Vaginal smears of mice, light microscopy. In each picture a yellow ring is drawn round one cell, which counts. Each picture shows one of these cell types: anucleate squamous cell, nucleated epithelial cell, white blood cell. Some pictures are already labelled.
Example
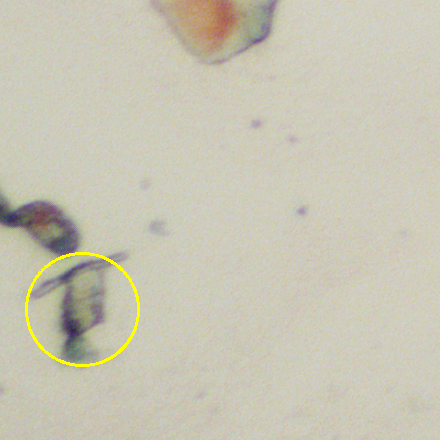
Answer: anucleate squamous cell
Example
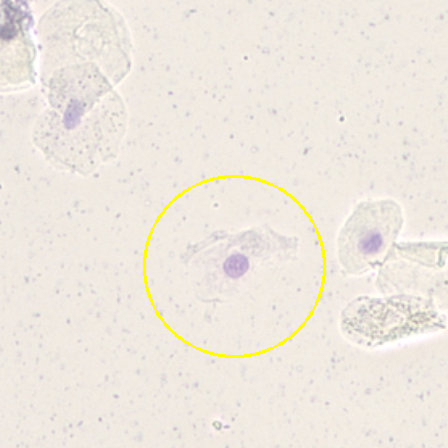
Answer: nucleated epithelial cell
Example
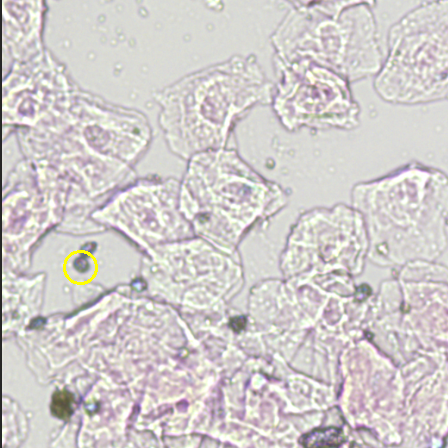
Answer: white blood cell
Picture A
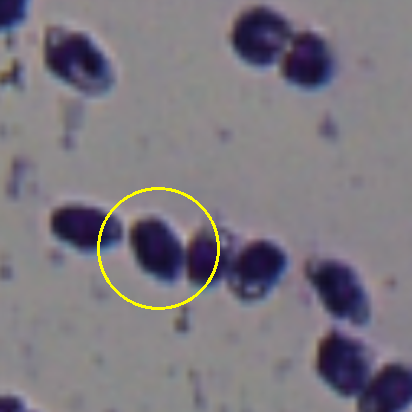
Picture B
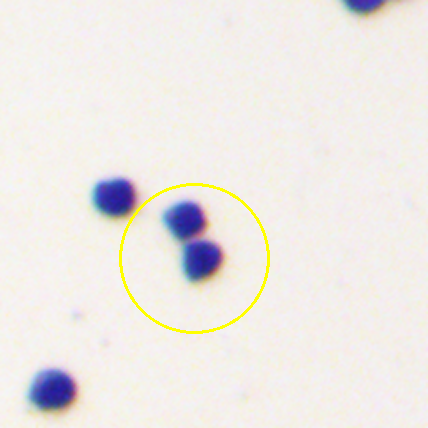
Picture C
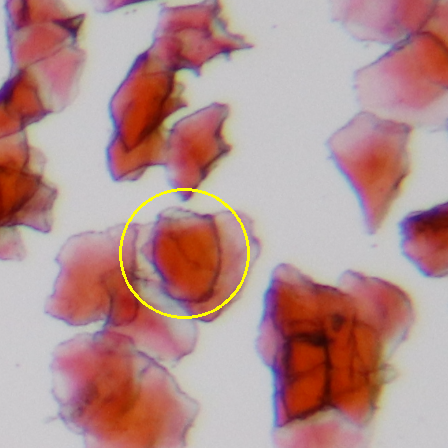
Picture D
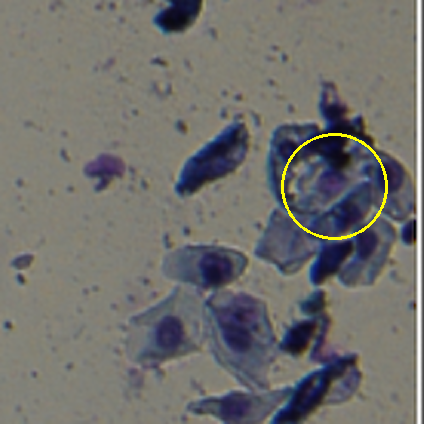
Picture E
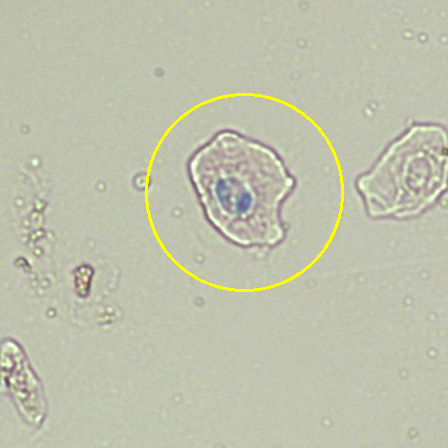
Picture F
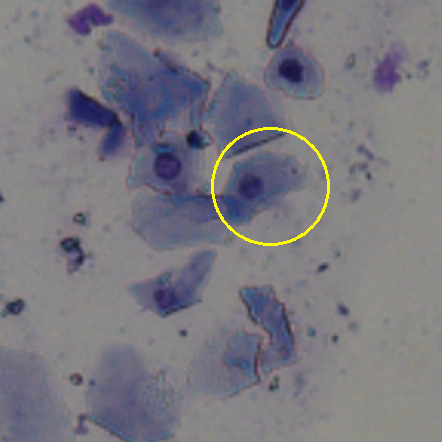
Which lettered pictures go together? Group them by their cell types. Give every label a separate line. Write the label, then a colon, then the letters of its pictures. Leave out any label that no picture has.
anucleate squamous cell: C
nucleated epithelial cell: D, E, F
white blood cell: A, B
